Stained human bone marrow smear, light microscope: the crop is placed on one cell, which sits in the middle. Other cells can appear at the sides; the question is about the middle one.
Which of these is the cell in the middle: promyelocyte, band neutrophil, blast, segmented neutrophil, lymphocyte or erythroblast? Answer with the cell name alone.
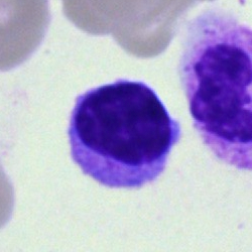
lymphocyte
